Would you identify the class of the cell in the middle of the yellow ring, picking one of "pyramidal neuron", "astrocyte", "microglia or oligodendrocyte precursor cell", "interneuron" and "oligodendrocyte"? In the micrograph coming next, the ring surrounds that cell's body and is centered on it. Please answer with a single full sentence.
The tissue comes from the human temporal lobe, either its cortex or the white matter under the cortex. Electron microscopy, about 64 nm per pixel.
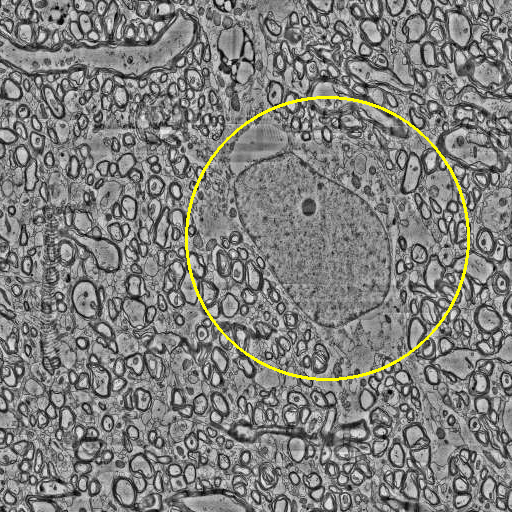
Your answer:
In the micrograph, it is an astrocyte whose body lies at the ring's center.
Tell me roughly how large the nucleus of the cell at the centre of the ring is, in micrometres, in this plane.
The nucleus is approximately 12 micrometres long but only about 8 wide, clearly longer than it is wide in this plane.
